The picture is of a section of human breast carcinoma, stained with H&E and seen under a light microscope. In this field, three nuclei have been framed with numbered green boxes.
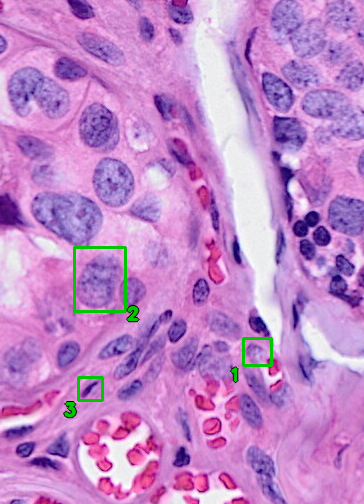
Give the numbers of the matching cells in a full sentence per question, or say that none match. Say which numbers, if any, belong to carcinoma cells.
Of the numbered cells, only cell 2 is a carcinoma cell.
